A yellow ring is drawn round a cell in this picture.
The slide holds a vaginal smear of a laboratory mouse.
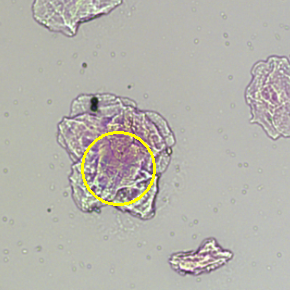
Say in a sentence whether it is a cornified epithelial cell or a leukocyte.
The cell in the ring is a cornified epithelial cell.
